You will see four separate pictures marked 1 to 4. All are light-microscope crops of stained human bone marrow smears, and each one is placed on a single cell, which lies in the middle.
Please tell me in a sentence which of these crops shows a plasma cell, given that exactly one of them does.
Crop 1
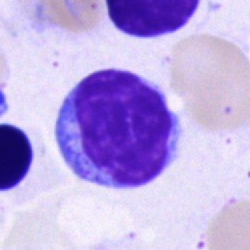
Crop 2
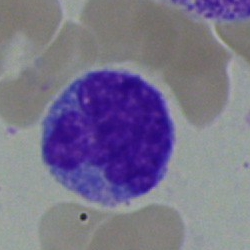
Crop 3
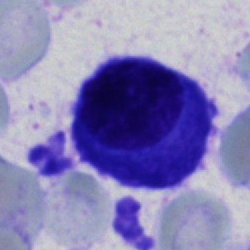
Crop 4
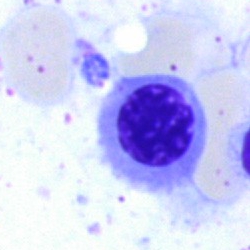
In this series, a plasma cell is shown by crop 3.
